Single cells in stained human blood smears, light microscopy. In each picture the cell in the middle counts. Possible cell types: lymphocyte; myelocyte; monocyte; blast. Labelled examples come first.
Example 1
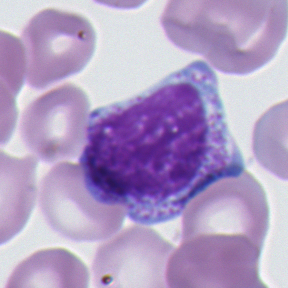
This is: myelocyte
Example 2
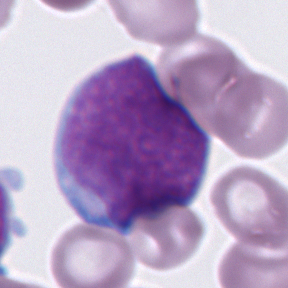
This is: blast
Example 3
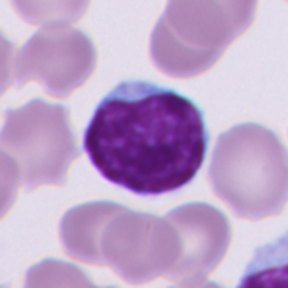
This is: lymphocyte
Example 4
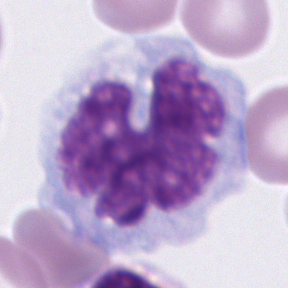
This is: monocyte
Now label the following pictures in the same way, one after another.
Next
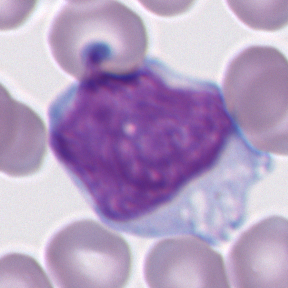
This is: blast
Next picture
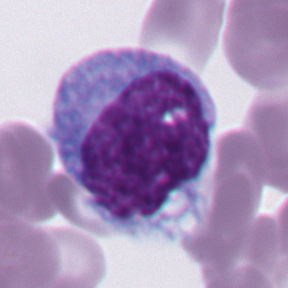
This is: monocyte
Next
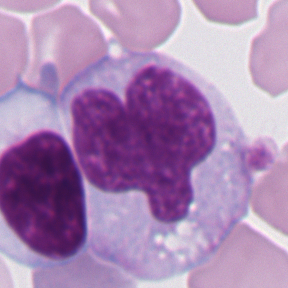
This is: monocyte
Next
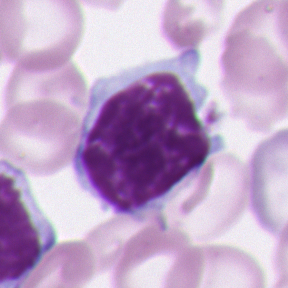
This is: lymphocyte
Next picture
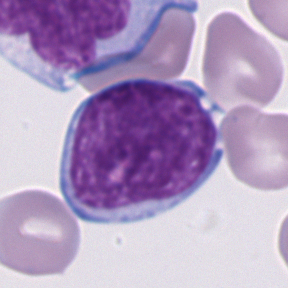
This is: blast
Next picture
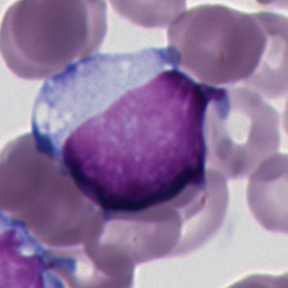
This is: blast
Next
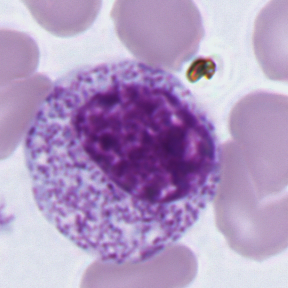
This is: myelocyte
